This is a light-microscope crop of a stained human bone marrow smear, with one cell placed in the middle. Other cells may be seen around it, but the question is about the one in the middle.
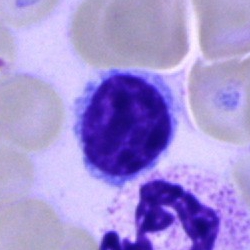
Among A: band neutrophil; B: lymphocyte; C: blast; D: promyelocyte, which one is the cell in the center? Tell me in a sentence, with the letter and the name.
The best answer is option B, since the cell in the middle is a lymphocyte.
